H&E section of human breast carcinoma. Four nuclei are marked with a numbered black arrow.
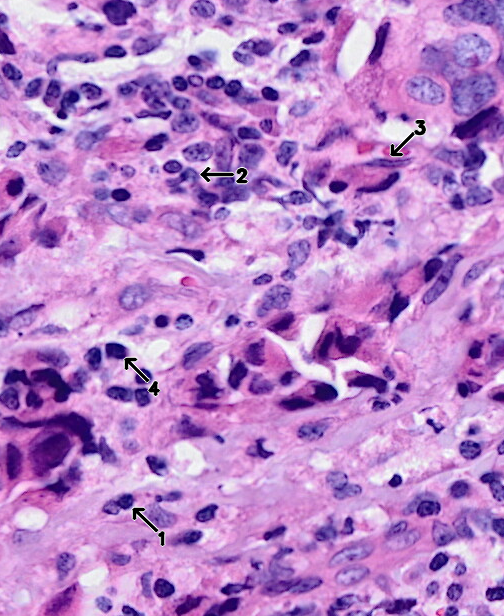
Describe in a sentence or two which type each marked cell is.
Cell 1 is a lymphocyte, cell 2 is a lymphocyte, cell 3 is an endothelial cell and cell 4 is a lymphocyte.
